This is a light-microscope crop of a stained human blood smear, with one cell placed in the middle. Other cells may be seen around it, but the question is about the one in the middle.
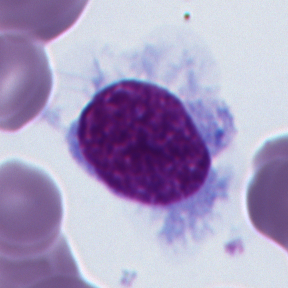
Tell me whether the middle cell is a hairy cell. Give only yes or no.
yes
